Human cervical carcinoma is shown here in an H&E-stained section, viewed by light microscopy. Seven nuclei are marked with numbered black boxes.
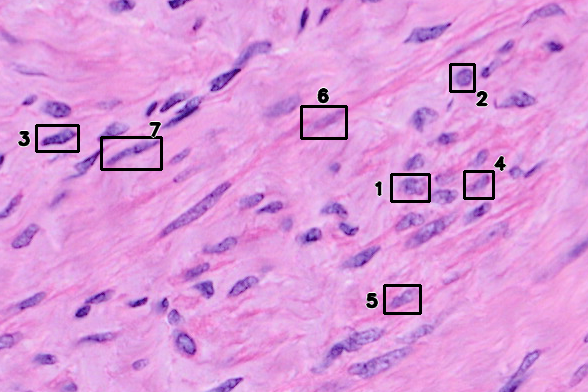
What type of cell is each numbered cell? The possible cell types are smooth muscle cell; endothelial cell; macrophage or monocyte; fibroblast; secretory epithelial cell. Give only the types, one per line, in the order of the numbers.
smooth muscle cell
fibroblast
fibroblast
smooth muscle cell
smooth muscle cell
smooth muscle cell
fibroblast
